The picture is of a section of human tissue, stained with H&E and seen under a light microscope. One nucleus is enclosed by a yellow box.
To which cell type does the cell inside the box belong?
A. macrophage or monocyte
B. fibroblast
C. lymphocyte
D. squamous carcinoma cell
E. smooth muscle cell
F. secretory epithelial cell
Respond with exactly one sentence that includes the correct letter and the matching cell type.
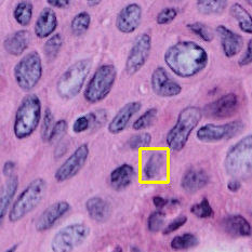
Exactly as option D gives it, the cell inside the box is a squamous carcinoma cell.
